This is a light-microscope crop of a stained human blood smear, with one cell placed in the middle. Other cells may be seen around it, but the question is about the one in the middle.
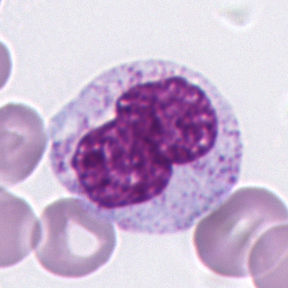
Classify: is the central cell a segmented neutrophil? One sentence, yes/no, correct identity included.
No, the cell at the centre of the crop is a band neutrophil and not a segmented neutrophil.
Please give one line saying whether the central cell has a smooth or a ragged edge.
You can see a smooth boundary, with no projections sticking out.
